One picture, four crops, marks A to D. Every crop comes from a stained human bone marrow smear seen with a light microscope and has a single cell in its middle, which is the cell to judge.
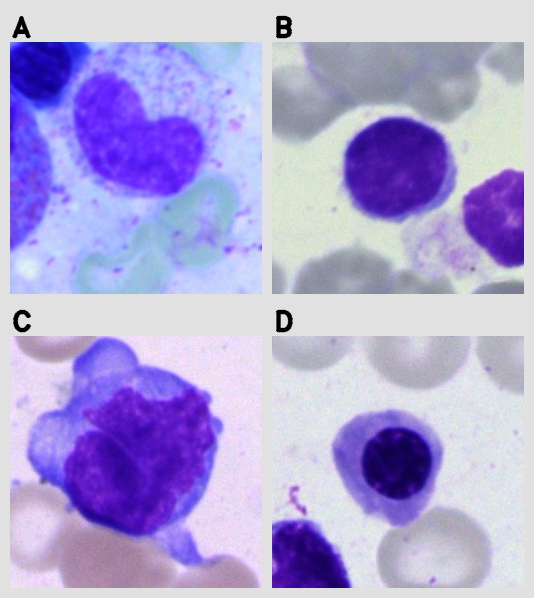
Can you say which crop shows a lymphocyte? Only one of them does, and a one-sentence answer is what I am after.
Crop B is where a lymphocyte is shown.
